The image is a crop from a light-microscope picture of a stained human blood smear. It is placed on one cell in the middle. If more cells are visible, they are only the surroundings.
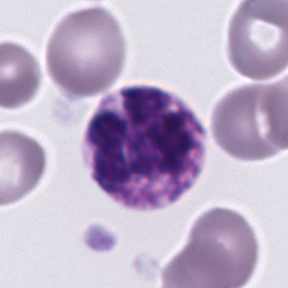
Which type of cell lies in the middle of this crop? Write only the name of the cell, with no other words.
basophil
